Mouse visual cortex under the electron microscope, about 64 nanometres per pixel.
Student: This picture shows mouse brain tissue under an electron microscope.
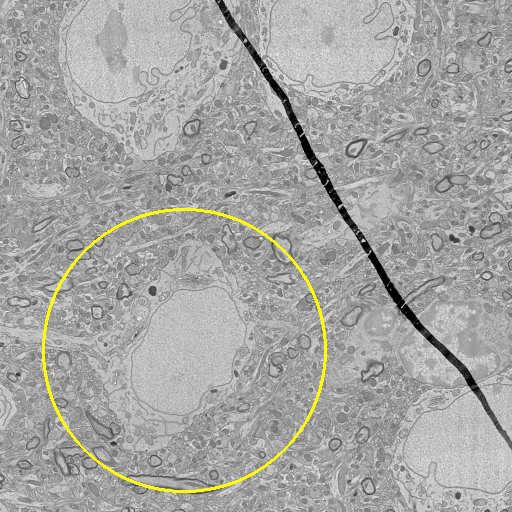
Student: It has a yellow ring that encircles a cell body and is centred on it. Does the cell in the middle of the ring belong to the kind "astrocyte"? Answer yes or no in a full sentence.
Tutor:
No, the cell in the middle of the ring in this picture is of another kind.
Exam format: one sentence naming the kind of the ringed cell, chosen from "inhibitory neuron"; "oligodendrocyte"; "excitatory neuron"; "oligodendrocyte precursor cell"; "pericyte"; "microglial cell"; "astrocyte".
As it turns out, the cell at the ring centre is an excitatory neuron.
